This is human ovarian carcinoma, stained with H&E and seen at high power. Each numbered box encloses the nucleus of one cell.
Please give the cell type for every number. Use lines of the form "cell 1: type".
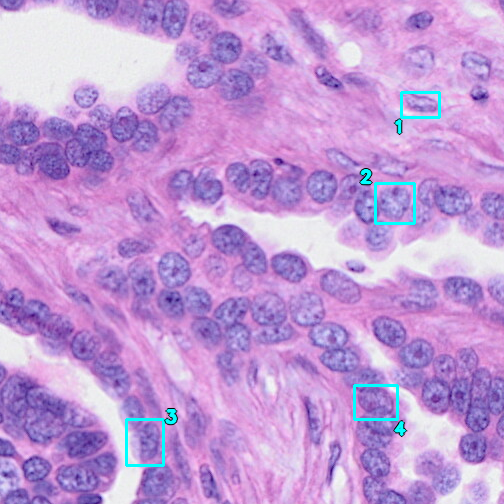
cell 1: fibroblast
cell 2: carcinoma cell
cell 3: carcinoma cell
cell 4: carcinoma cell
